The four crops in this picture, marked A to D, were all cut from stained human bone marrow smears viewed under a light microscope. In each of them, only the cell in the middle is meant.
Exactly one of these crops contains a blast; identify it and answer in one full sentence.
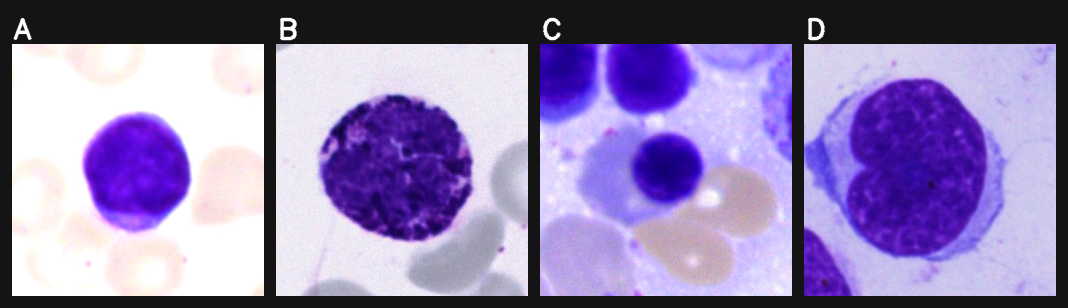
Crop D is the single crop that shows a blast.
